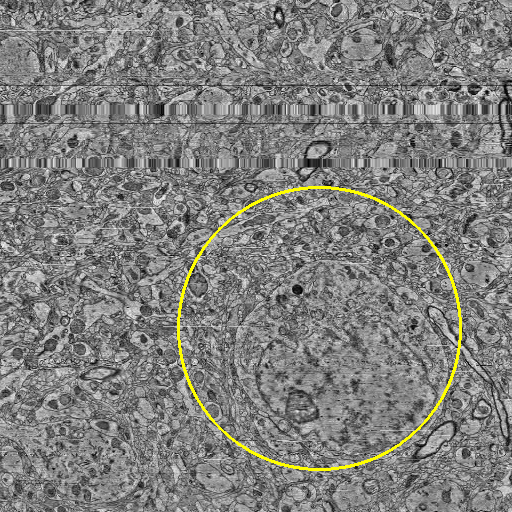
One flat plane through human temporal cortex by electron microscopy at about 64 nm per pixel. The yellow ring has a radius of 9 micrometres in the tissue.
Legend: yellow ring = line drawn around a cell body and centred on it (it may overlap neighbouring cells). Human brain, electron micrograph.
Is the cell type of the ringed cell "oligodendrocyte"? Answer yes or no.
no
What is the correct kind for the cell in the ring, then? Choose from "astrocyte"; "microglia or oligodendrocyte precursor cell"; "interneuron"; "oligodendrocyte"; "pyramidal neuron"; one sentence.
As it turns out, the cell at the ring centre is an interneuron.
